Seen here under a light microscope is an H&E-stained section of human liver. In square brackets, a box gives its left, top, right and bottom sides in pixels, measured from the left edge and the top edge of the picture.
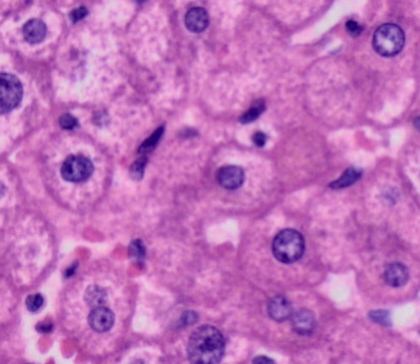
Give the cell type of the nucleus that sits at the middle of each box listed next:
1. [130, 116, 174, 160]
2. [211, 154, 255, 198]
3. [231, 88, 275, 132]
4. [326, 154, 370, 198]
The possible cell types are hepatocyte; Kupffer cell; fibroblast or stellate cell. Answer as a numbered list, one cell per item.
1. fibroblast or stellate cell
2. hepatocyte
3. fibroblast or stellate cell
4. fibroblast or stellate cell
